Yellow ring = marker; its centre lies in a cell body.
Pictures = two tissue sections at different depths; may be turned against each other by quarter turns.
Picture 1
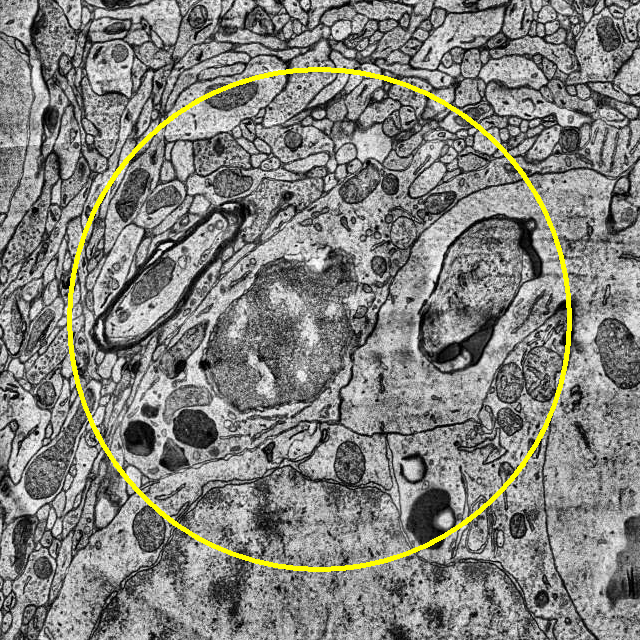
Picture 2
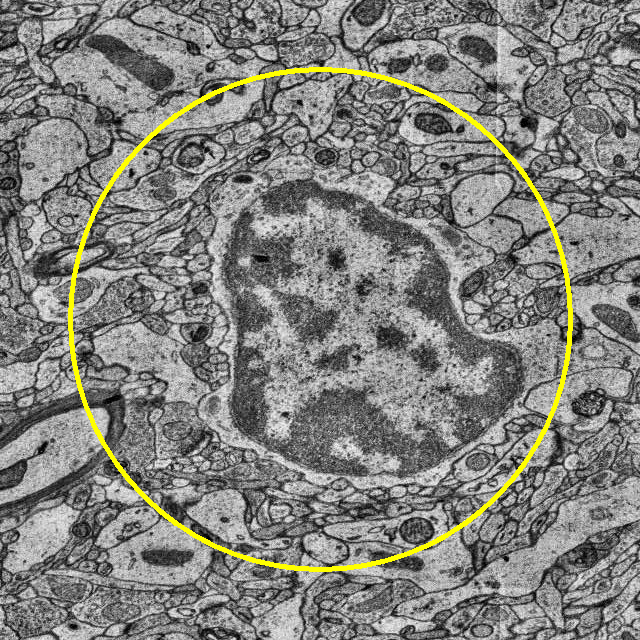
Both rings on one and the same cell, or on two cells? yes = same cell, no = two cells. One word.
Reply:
no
